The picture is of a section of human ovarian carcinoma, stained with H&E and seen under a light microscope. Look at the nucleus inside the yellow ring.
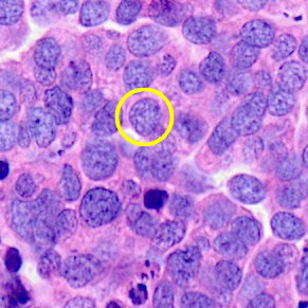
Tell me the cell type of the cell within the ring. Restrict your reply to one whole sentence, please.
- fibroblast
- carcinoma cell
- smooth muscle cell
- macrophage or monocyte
Speaking plainly, the cell within the ring is nothing other than a carcinoma cell.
